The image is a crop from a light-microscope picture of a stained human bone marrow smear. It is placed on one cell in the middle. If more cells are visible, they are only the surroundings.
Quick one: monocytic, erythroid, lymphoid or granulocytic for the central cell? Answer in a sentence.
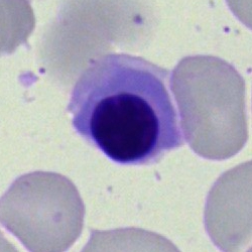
The cell at the center is a representative of the erythroid lineage.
